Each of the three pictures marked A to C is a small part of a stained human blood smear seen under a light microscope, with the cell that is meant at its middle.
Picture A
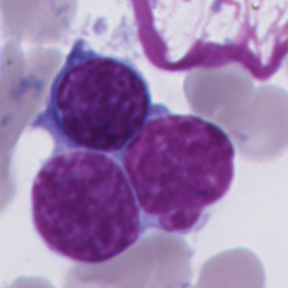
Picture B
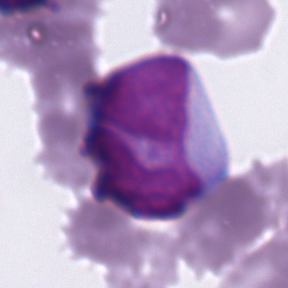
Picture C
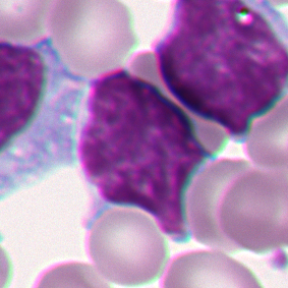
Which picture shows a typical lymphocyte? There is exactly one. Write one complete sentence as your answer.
Picture C shows the typical lymphocyte.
